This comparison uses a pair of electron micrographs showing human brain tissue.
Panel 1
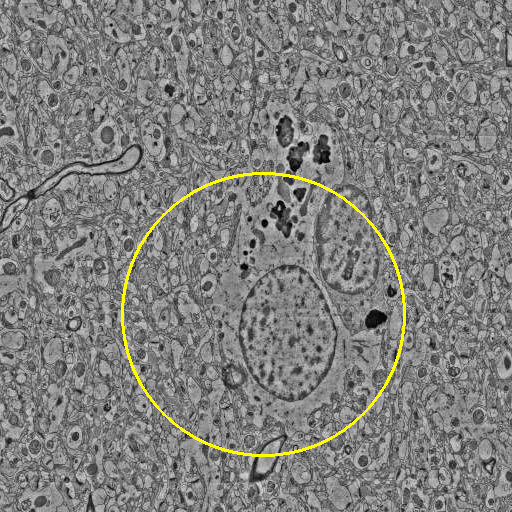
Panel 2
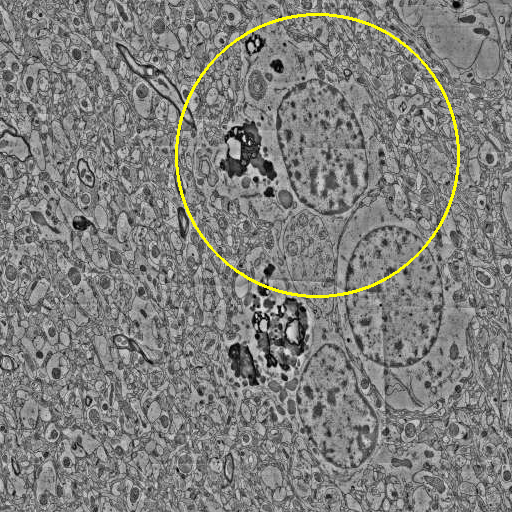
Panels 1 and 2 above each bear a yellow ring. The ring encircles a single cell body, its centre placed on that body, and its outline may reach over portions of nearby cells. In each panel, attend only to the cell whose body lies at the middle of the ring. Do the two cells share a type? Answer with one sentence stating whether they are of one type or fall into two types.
In Panel 1 and Panel 2, the cells at the centres of the rings are of one type.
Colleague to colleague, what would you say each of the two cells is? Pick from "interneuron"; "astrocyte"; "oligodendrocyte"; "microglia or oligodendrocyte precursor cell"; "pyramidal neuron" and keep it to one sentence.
Both pictures show an astrocyte at the centre of the ring.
